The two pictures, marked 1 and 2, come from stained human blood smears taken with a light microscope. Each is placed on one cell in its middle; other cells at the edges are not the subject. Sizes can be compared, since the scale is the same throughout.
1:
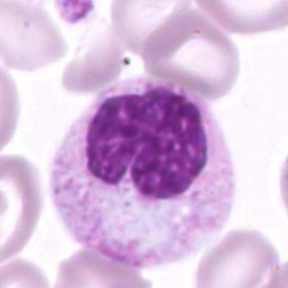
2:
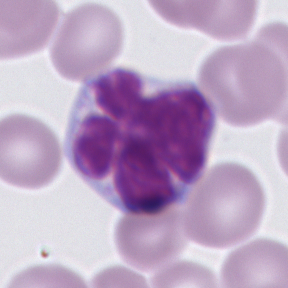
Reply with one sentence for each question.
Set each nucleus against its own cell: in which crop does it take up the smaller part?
In crop 1 the nucleus takes up the smaller part of its cell.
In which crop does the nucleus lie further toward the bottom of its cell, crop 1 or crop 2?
Seen within its cell, the nucleus in crop 2 lies further toward the bottom.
